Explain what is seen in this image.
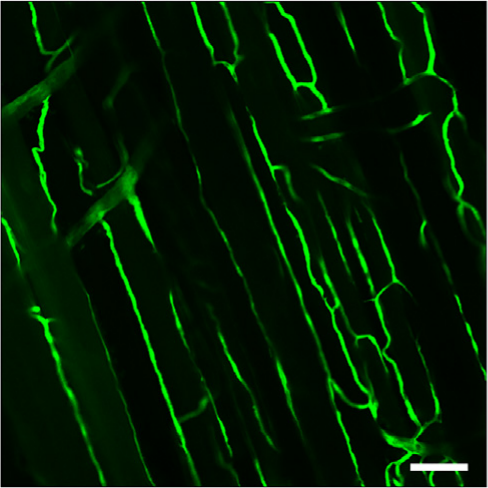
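Skeletal muscle viewed from above, with the vessel lining shown as thin green lines that run parallel to one another along the long axis of the muscle fibers. Short green cross-links join neighbouring lines, forming an elongated ladder-like network in the dark spaces between the fibers. A few wider, faintly green tubes cross the field at an angle to the parallel lines.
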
